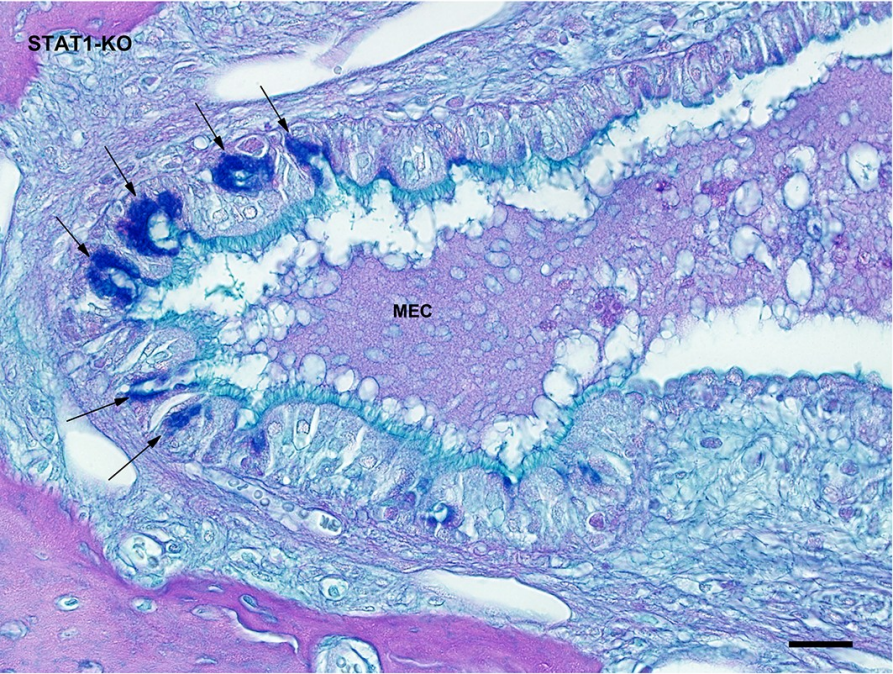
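The epithelium consists of tall columnar cells with a blue-green fringe on their free surface. At the left, several large cup-shaped goblet cells lie side by side, their cytoplasm filled with deep blue-purple mucus. The cavity is filled with pale pink-purple material containing many clear round bubbles. Under the epithelium lies a broad layer of loose, pale blue connective tissue with scattered cells, and pieces of magenta bone appear at the lower left and top left.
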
